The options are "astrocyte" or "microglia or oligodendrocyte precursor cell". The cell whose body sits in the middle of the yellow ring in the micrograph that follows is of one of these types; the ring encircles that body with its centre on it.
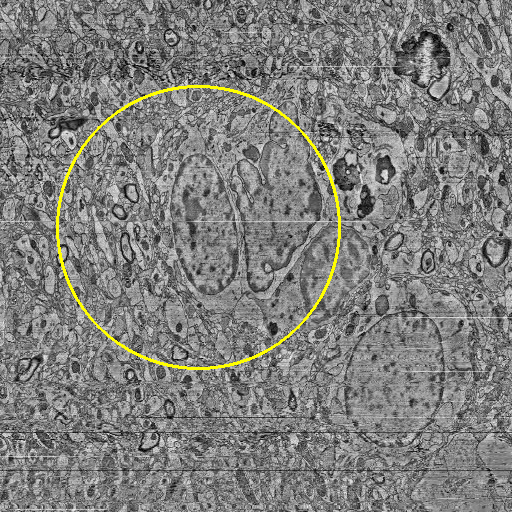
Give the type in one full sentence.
Going by the micrograph, the cell centred in the yellow ring is an astrocyte.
